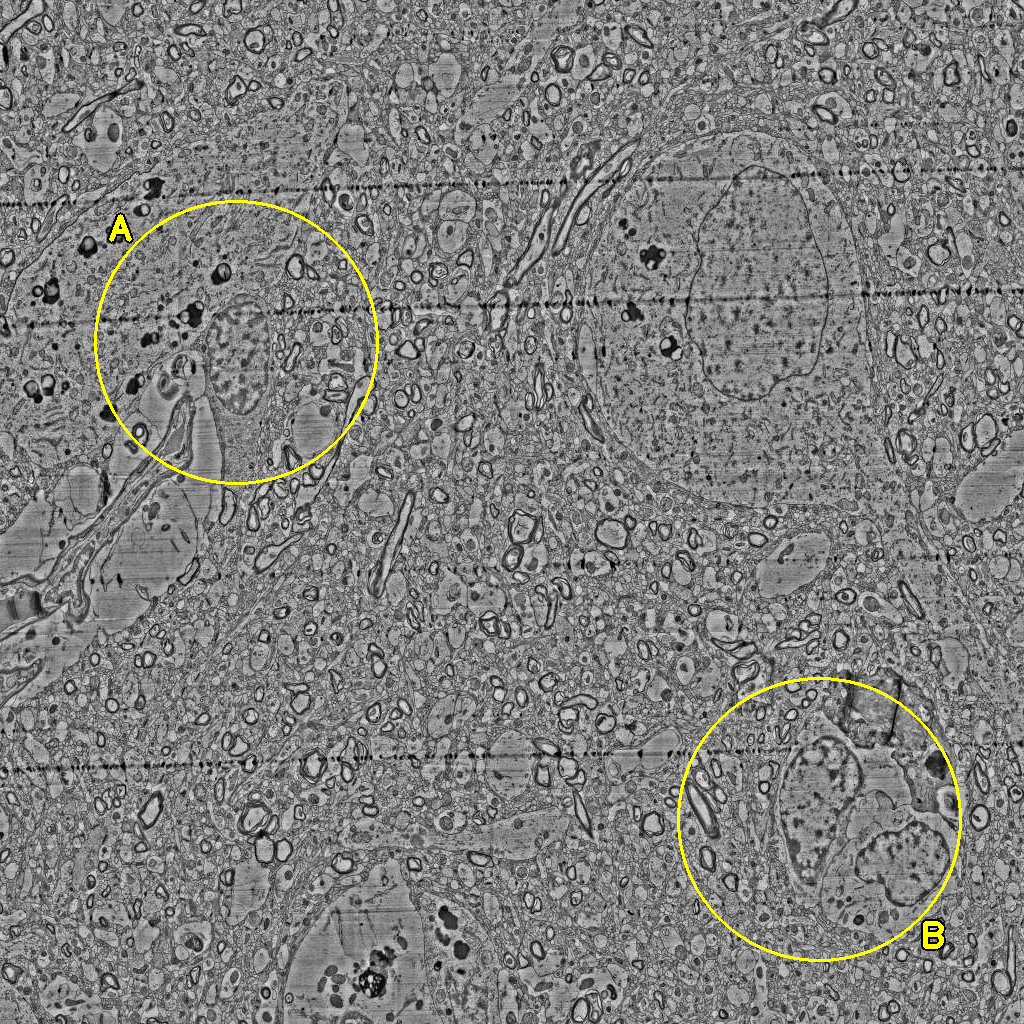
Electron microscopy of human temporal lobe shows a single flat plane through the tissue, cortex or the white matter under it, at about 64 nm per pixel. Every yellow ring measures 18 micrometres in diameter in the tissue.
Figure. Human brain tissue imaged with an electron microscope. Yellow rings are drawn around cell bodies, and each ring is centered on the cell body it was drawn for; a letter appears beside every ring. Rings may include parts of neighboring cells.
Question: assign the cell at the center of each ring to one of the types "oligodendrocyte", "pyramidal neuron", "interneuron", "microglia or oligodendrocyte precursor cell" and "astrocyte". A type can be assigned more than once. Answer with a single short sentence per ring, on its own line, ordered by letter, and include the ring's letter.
Centered in ring A is an oligodendrocyte.
Centered in ring B is a microglial cell or oligodendrocyte precursor cell.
